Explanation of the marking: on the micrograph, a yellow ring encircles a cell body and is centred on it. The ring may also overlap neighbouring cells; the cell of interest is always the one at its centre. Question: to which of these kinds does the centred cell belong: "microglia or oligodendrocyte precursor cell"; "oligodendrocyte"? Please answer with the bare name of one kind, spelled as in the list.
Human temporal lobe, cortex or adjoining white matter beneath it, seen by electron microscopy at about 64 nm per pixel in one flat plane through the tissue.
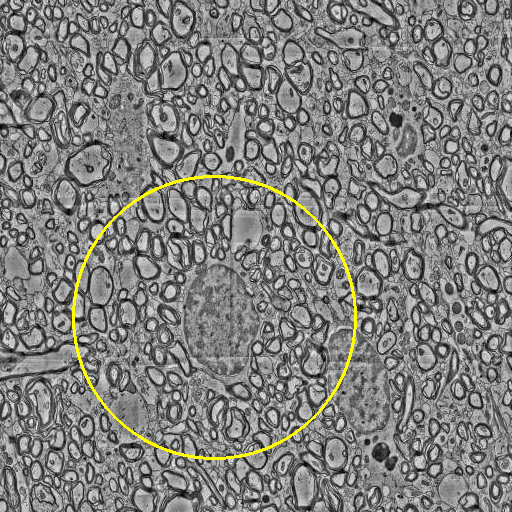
oligodendrocyte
